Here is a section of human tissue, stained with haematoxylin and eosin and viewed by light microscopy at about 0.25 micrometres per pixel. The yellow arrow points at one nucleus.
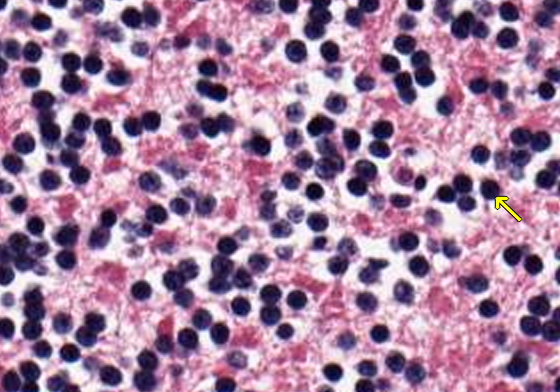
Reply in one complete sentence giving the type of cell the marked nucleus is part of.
The marked nucleus belongs to a cerebellar granule cell.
